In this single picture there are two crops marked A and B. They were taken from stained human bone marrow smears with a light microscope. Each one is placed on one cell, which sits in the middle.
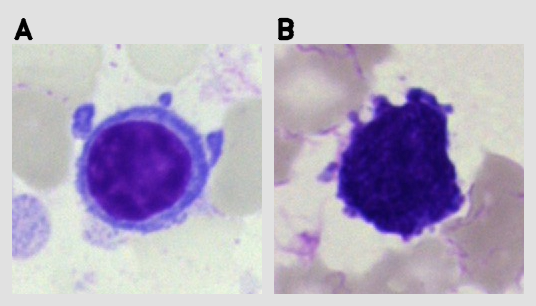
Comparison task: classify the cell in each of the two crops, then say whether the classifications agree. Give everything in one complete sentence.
No, crop A captures a lymphocyte; meanwhile crop B captures a blast.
